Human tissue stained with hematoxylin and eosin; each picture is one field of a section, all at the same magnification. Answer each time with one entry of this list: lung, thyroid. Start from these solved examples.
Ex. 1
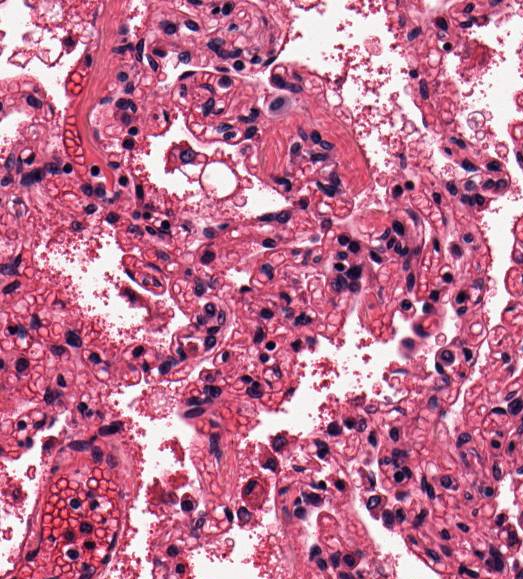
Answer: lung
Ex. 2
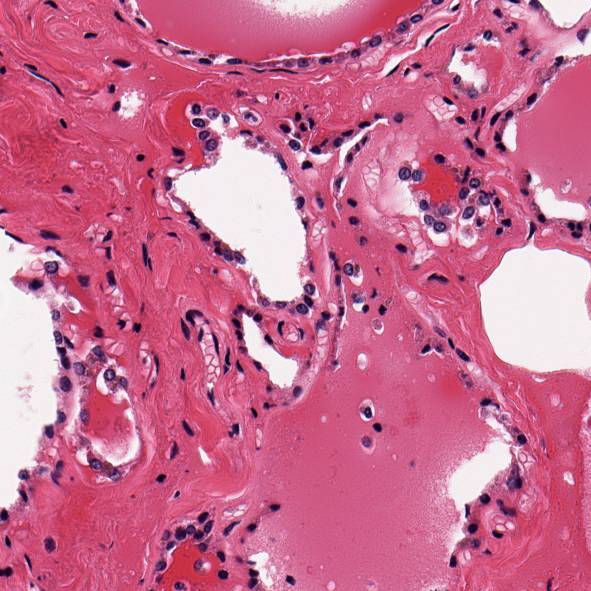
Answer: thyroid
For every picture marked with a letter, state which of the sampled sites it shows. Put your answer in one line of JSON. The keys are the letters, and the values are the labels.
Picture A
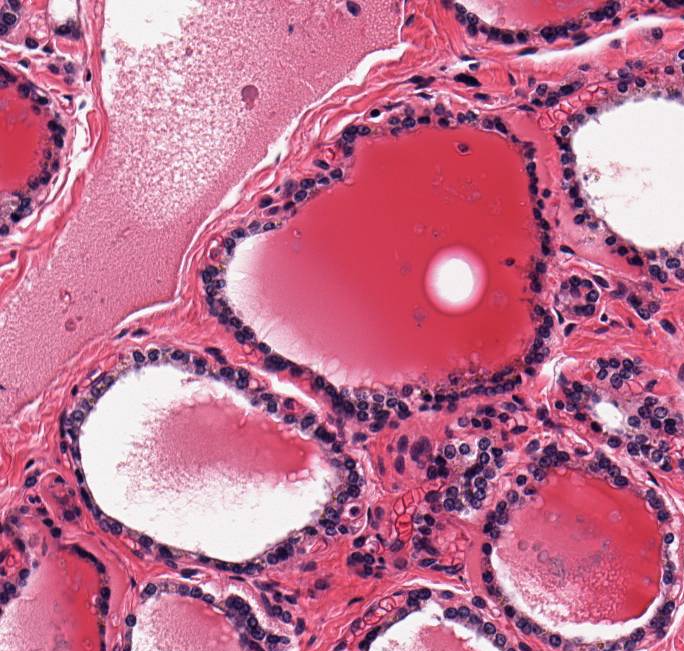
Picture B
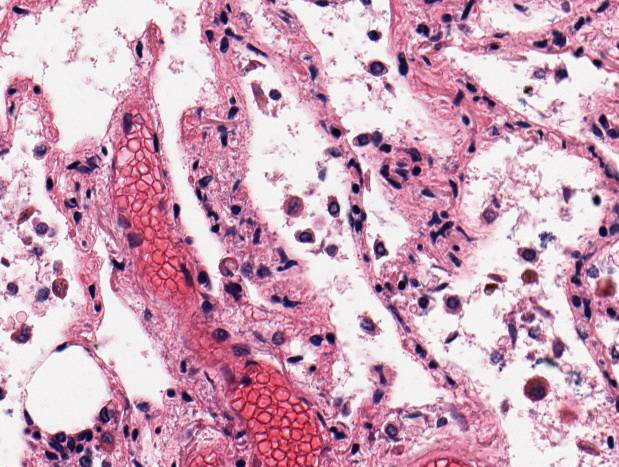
{"A": "thyroid", "B": "lung"}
